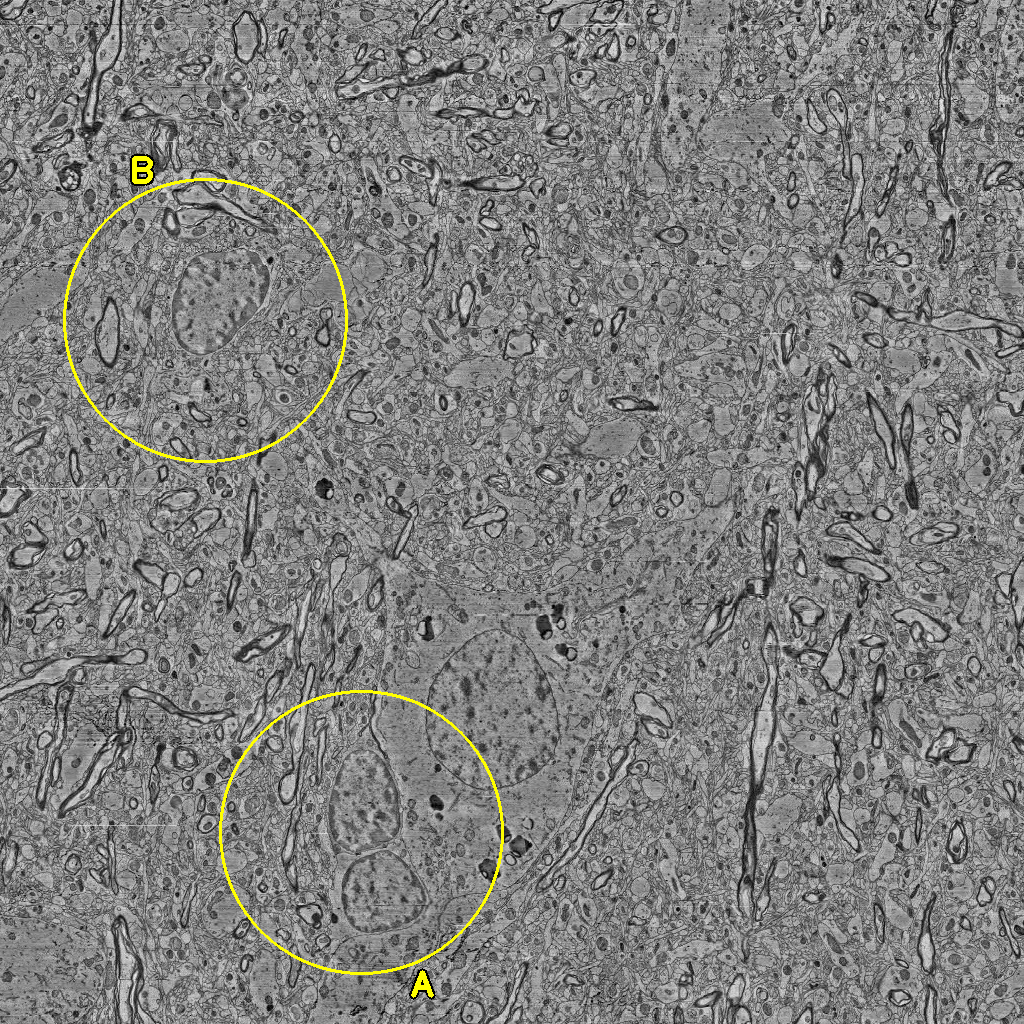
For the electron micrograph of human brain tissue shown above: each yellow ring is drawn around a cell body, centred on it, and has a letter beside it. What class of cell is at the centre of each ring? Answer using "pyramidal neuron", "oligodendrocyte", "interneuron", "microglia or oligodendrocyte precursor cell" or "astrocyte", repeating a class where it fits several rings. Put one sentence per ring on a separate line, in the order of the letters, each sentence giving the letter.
At ring A, the central cell is an oligodendrocyte.
At ring B, the central cell is a microglial cell or oligodendrocyte precursor cell.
